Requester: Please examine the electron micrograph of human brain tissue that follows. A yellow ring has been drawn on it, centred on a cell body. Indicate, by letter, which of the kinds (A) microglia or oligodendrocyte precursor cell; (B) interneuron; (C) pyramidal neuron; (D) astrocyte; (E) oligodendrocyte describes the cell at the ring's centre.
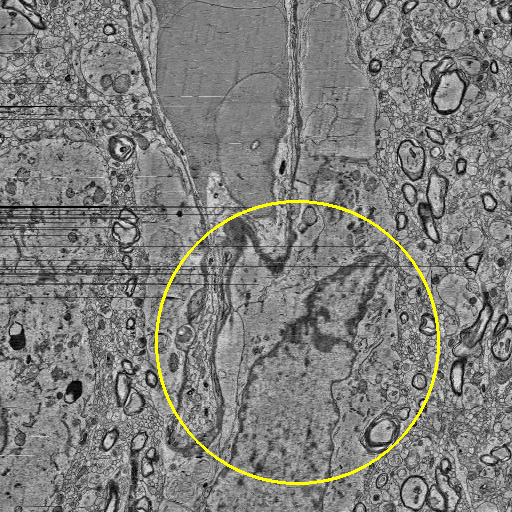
A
